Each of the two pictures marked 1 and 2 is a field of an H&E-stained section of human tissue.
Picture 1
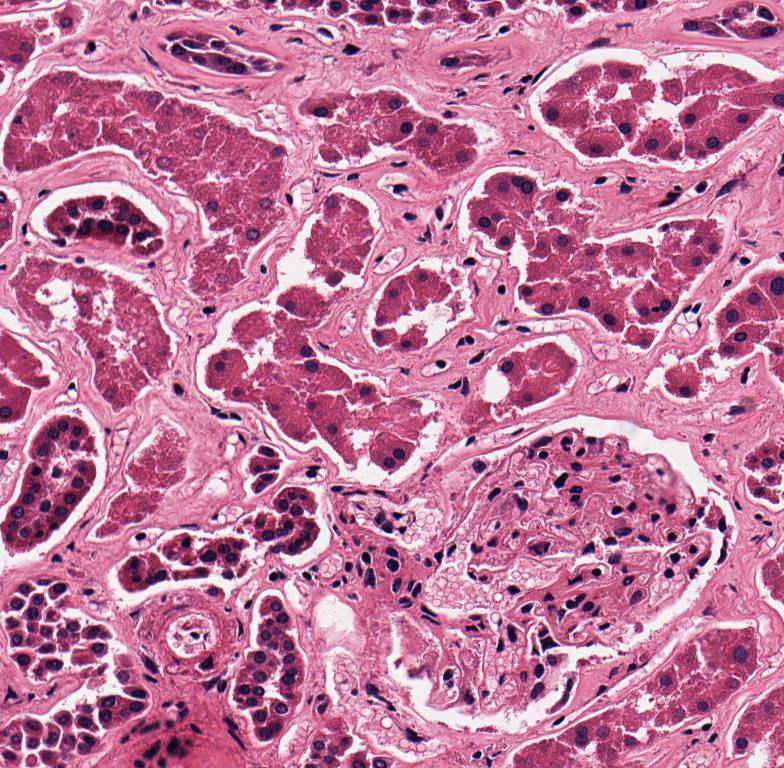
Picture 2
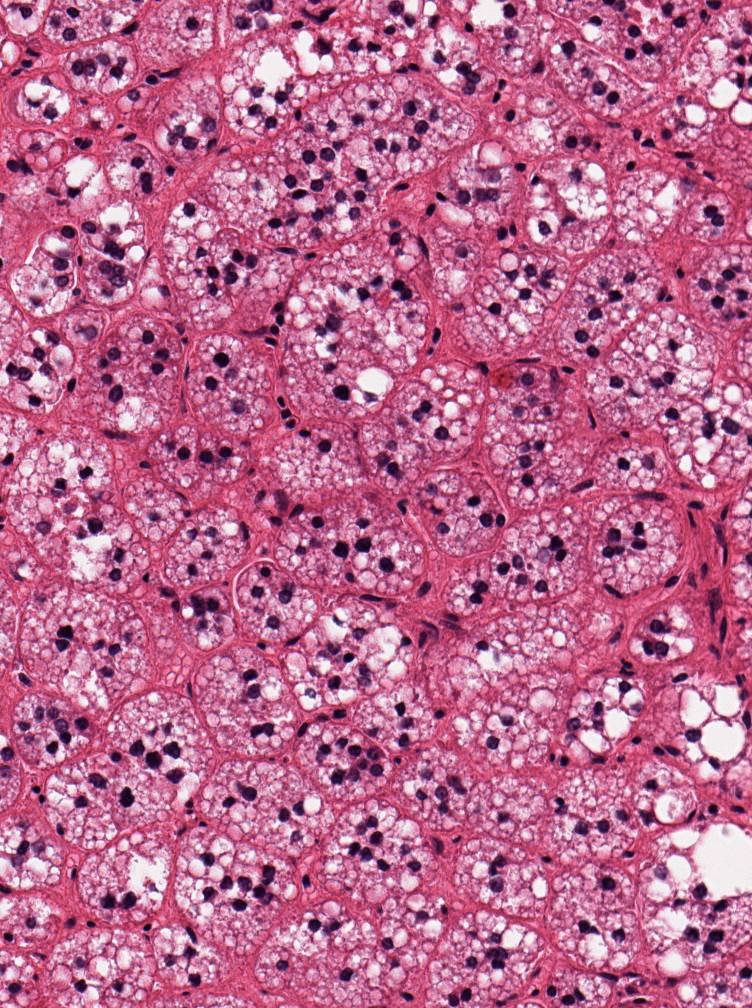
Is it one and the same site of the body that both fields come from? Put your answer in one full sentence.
No, picture 1 comes from the renal cortex and picture 2 comes from the adrenal gland.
